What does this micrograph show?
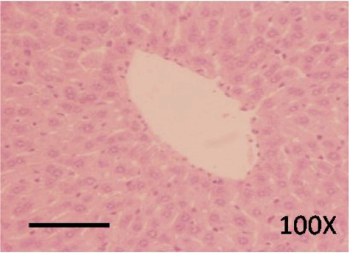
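Liver parenchyma made of polygonal liver cells with round central nuclei and pink cytoplasm, arranged around a vessel. The vessel lumen in the centre is empty and pale, lined by a thin flattened wall. The liver cells lie in cords with narrow spaces between them, and no dense clusters of foreign cells are seen.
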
